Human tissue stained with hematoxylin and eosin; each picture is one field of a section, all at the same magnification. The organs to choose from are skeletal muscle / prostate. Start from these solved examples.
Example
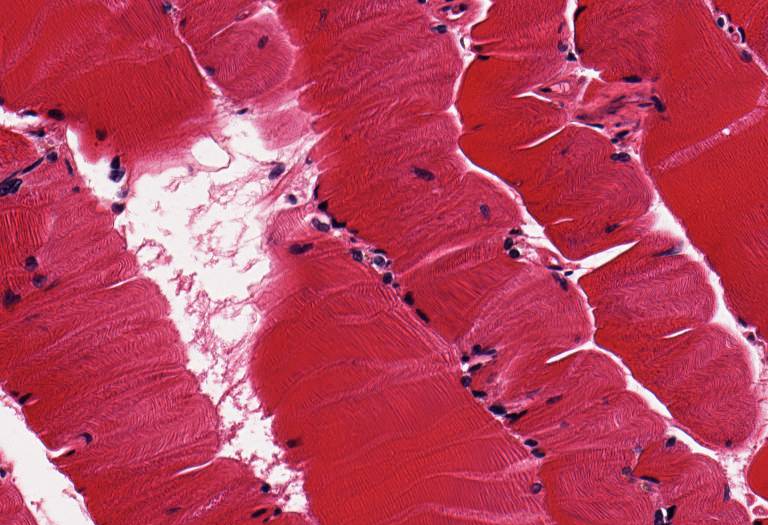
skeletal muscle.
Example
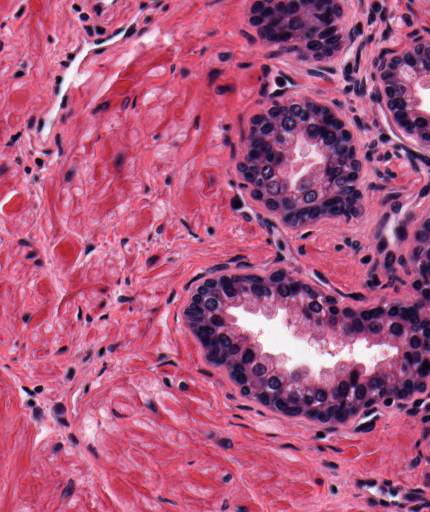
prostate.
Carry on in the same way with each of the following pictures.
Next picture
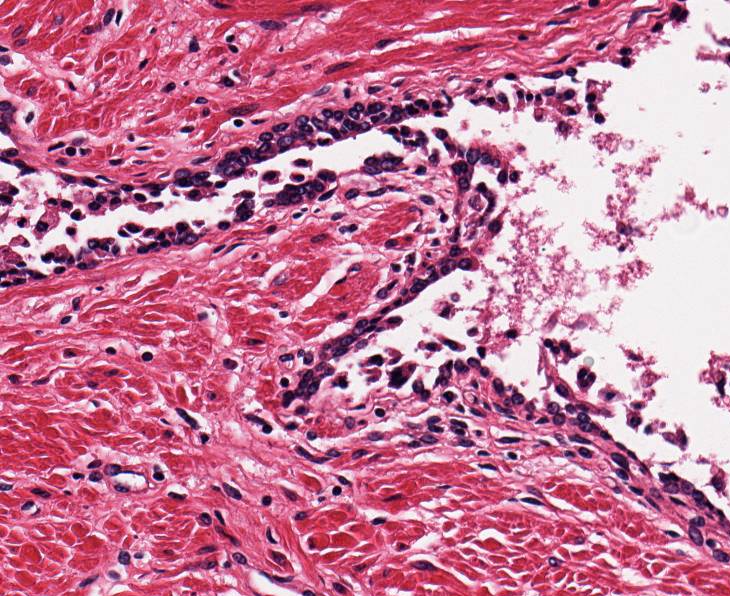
prostate.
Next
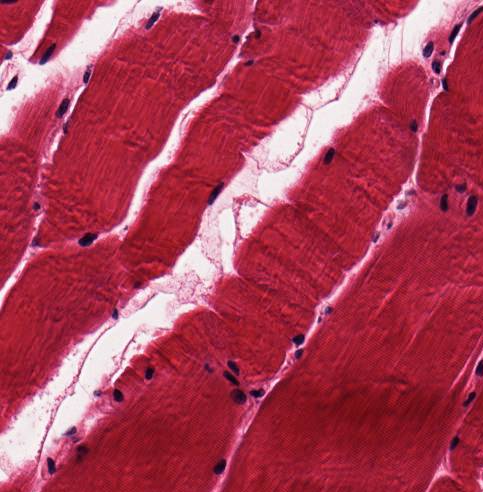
skeletal muscle.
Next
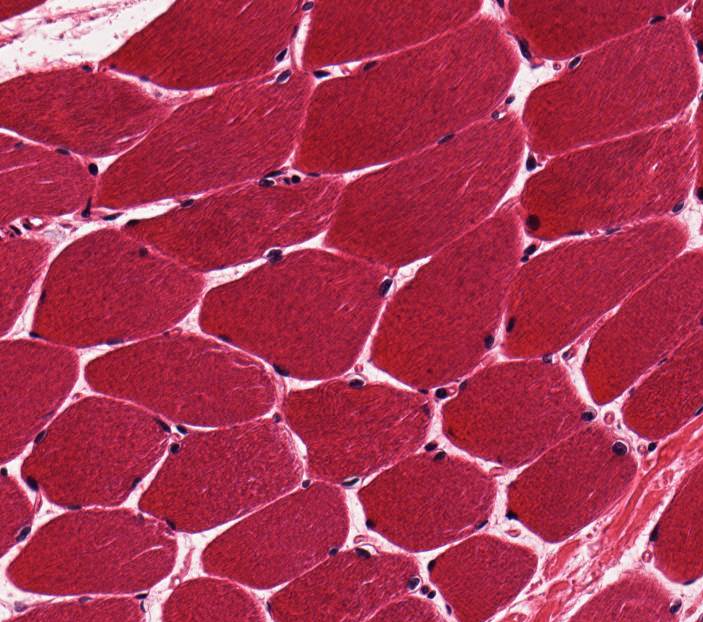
skeletal muscle.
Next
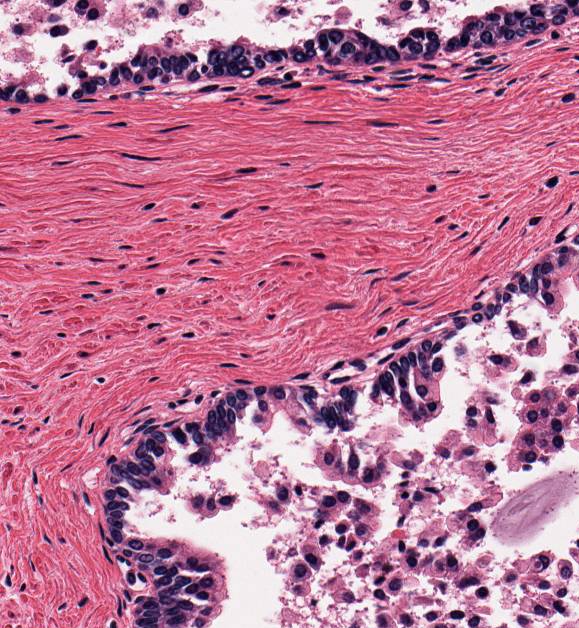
prostate.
